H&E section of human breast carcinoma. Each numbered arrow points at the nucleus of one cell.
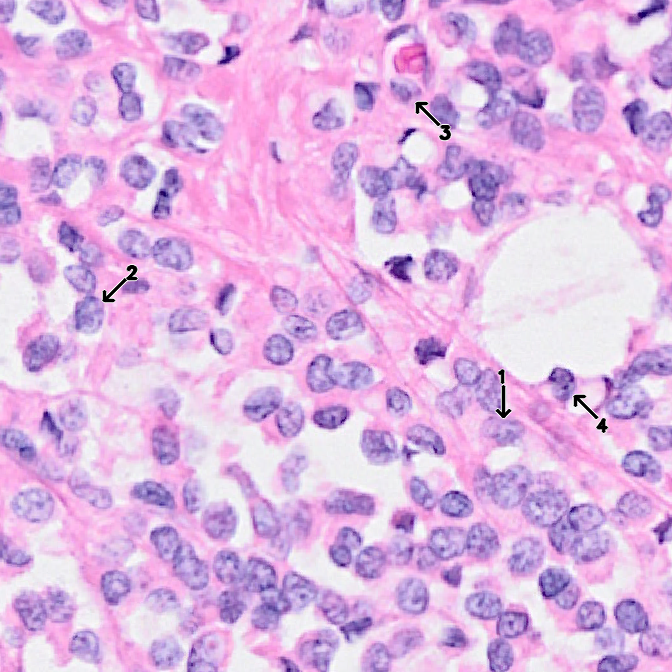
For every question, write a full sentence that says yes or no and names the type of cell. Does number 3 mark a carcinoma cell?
No, cell 3 isn't a carcinoma cell; it's an endothelial cell.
